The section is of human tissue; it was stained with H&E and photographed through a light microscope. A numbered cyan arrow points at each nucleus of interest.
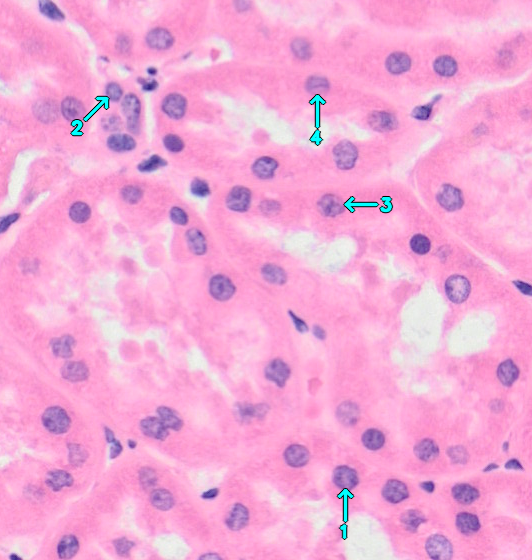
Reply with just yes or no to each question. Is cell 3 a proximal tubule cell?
yes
